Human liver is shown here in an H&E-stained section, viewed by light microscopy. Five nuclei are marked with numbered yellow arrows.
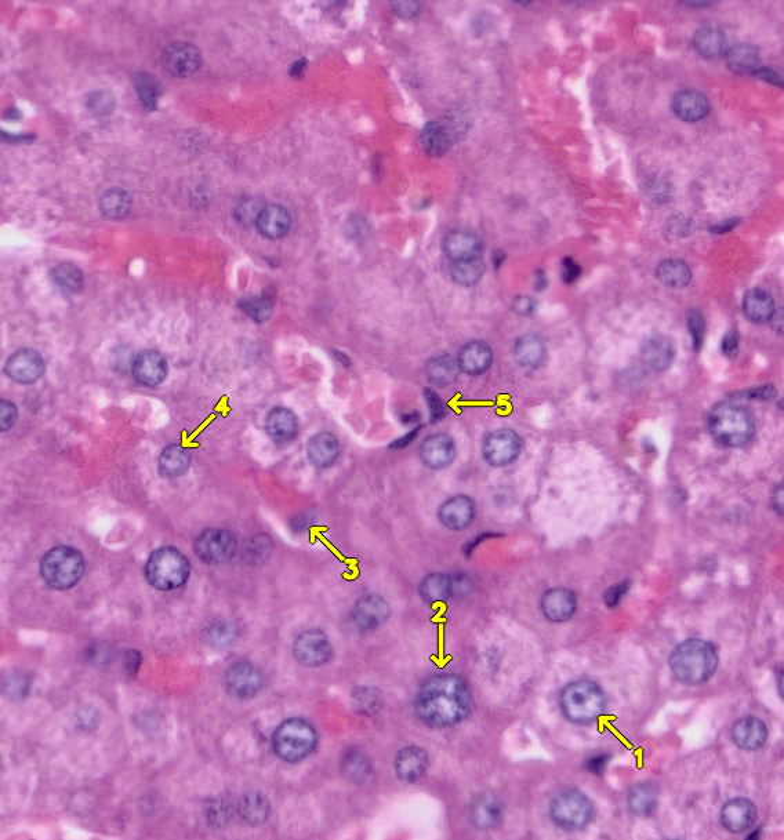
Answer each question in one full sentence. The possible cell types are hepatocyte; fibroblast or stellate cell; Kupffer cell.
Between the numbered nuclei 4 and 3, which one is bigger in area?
Nucleus 4 is the larger one, covering about 1.5 times the area of nucleus 3.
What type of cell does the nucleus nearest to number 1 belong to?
Closest to number 1 lies the nucleus of a fibroblast or stellate cell.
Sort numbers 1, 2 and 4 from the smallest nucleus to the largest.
By area, going up from the smallest, they rank 4, 1, 2.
